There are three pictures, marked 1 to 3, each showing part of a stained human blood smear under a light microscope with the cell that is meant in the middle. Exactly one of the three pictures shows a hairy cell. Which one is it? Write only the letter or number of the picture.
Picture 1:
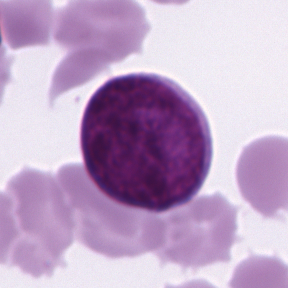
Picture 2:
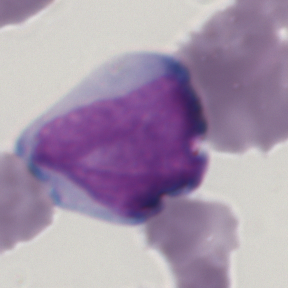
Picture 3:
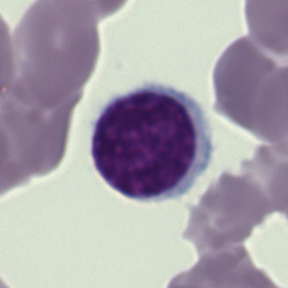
3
